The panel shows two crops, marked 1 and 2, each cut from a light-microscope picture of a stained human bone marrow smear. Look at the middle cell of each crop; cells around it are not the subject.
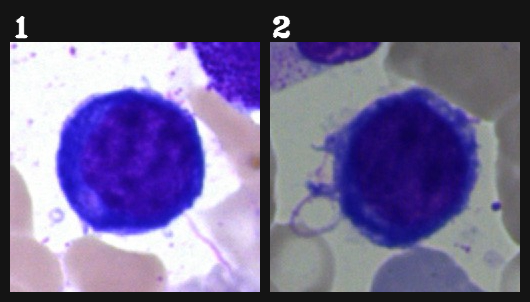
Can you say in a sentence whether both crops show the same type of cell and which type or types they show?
Yes, both crops in this set show proerythroblasts.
